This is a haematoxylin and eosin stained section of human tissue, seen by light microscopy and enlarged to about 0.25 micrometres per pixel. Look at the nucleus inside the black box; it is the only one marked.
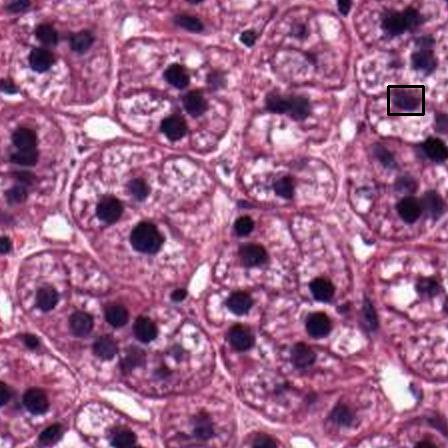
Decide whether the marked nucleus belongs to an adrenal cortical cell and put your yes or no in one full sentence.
Yes, an adrenal cortical cell is the owner of the marked nucleus.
